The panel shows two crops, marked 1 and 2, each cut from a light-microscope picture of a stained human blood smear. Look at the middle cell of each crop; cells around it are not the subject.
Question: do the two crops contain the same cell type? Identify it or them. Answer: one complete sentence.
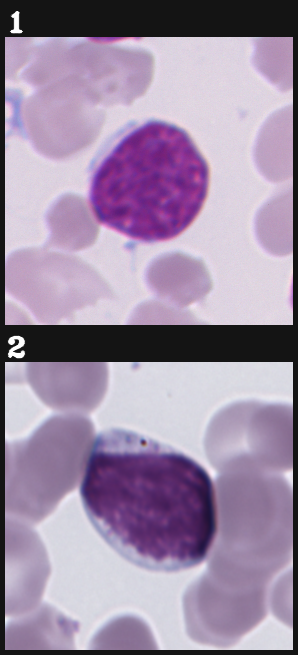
No, crop 1 features a myeloblast, and crop 2 features a large granular lymphocyte.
